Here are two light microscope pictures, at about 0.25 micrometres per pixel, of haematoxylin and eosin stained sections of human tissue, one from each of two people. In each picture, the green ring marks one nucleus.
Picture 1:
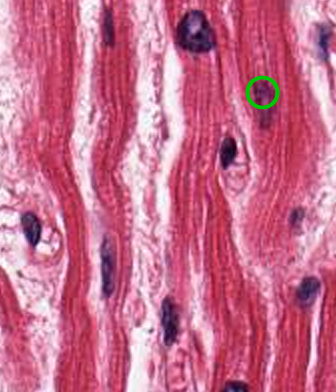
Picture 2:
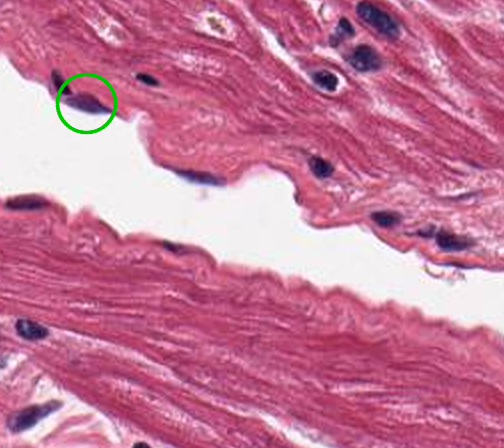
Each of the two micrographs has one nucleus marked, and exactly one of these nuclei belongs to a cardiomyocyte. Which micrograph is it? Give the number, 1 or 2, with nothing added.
1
